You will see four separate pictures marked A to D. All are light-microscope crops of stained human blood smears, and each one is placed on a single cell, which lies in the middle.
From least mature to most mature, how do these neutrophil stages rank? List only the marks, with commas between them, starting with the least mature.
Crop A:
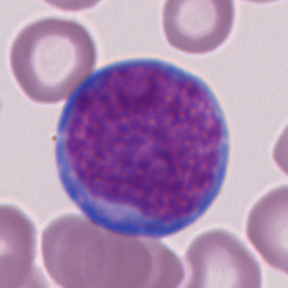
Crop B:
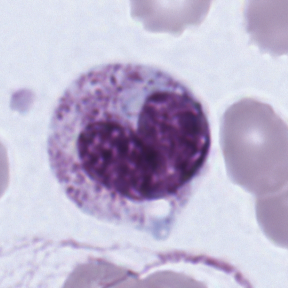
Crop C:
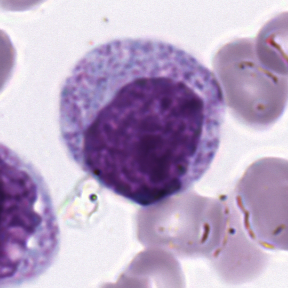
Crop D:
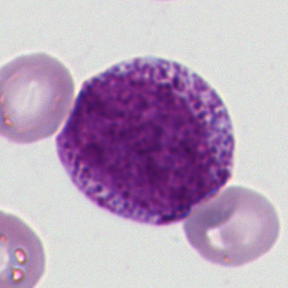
A, D, C, B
